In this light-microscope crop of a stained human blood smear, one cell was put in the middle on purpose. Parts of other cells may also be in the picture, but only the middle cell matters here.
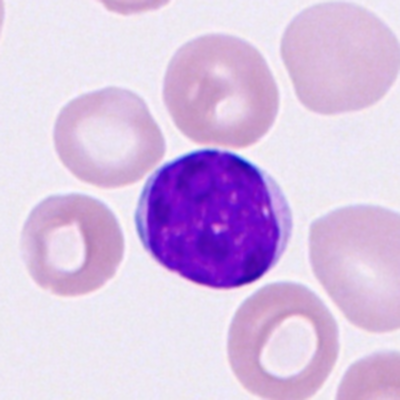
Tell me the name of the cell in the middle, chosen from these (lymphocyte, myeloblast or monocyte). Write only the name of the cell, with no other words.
lymphocyte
